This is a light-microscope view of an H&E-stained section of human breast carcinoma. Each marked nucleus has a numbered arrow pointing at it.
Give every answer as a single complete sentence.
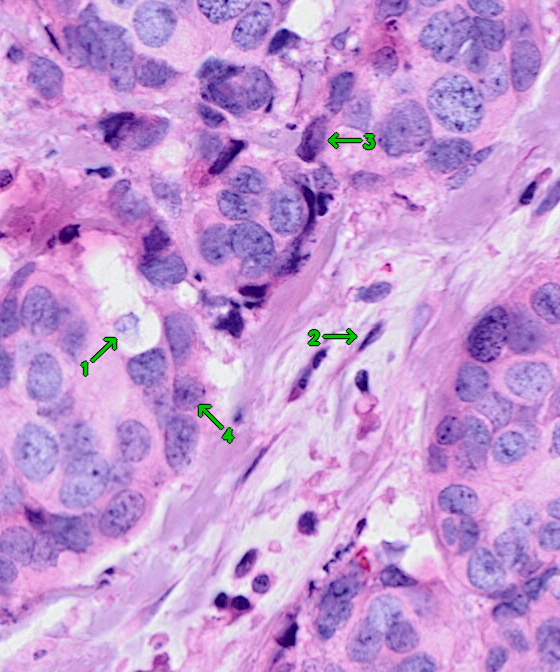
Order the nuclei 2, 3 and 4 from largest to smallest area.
The nuclei rank 3, 4, 2, from largest to smallest.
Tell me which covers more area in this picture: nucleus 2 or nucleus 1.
The larger nucleus is 1, at roughly 2 times the area of 2.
